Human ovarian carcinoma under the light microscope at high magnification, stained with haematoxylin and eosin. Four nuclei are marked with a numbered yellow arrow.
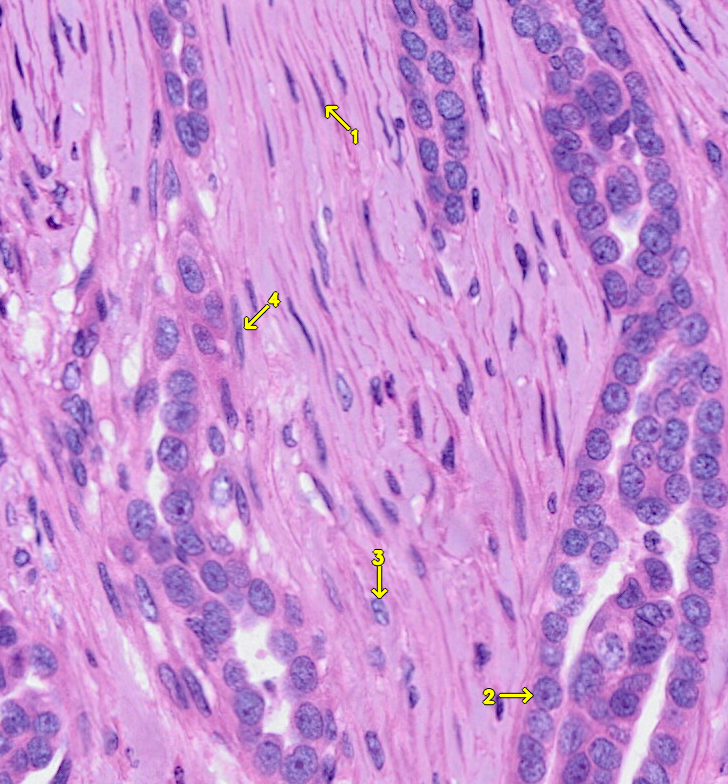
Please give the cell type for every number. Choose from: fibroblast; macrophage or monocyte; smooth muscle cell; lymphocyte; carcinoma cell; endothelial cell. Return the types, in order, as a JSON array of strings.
["fibroblast", "carcinoma cell", "fibroblast", "fibroblast"]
